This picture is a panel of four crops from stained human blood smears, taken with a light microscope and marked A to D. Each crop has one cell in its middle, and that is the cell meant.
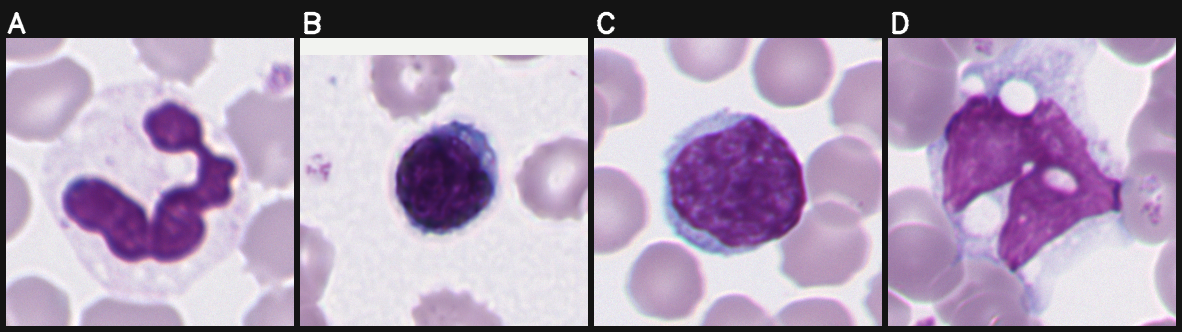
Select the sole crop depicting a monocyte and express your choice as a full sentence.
Only in crop D is a monocyte shown.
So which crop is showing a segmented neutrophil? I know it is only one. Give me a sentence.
Crop A is the crop in which a segmented neutrophil is shown.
